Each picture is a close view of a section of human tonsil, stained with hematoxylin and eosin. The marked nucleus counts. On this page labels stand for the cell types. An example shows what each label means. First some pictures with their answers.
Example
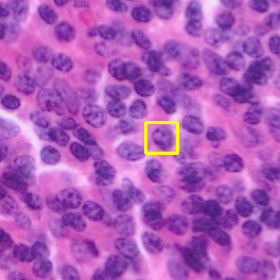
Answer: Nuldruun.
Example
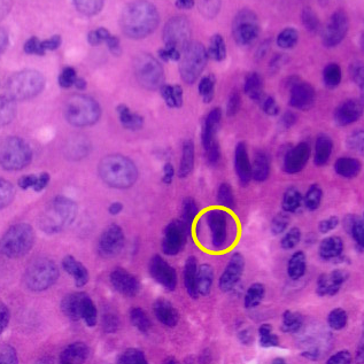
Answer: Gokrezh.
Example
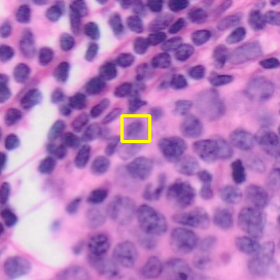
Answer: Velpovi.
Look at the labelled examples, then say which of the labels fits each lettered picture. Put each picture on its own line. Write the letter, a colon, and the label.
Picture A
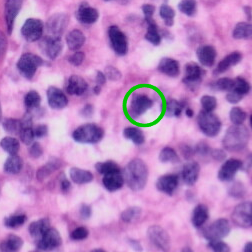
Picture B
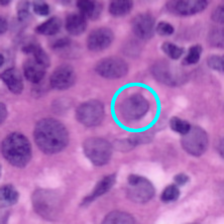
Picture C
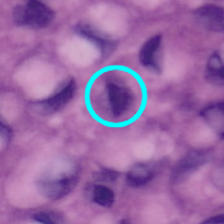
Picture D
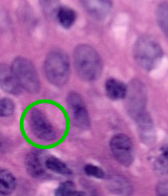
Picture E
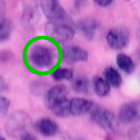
A: Velpovi.
B: Gokrezh.
C: Gokrezh.
D: Gokrezh.
E: Velpovi.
